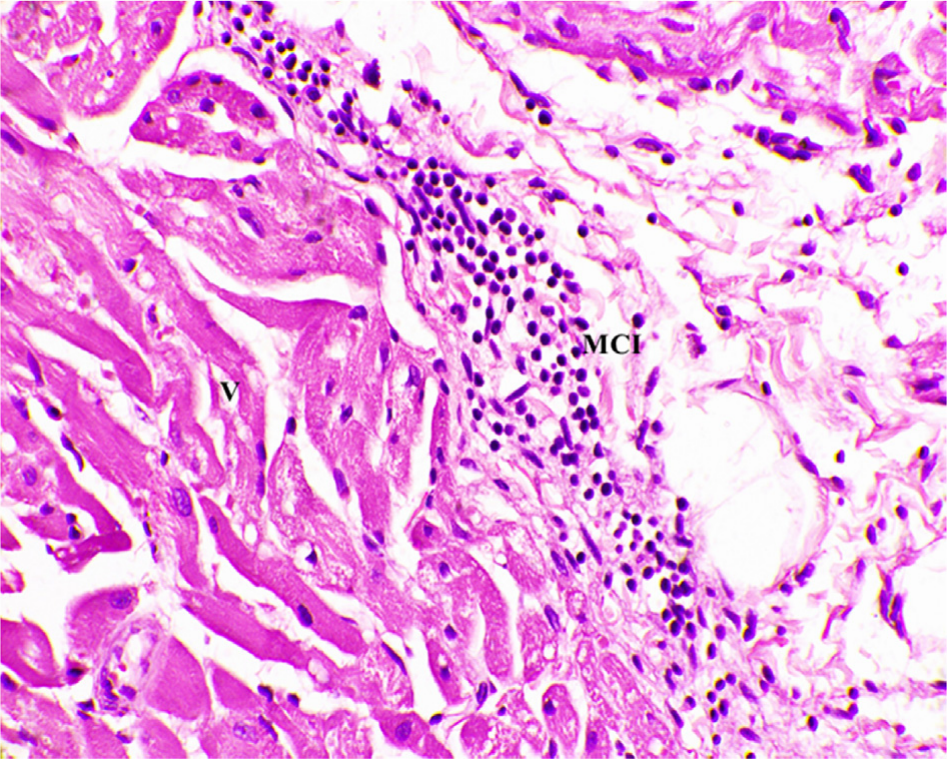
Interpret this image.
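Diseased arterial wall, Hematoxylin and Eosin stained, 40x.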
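On the left, elongated pink-staining fibres with oval purple nuclei lie in parallel bundles. These bundles are separated by clear spaces and small rounded vacuoles. In the centre, many small, round, densely dark-purple nuclei with scant cytoplasm are packed into a streak that runs down the field. On the right, pale pink, loose, wispy fibrillar tissue contains scattered spindle-shaped nuclei and large empty spaces. The inflammatory cells spill from the streak into this loose tissue.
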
